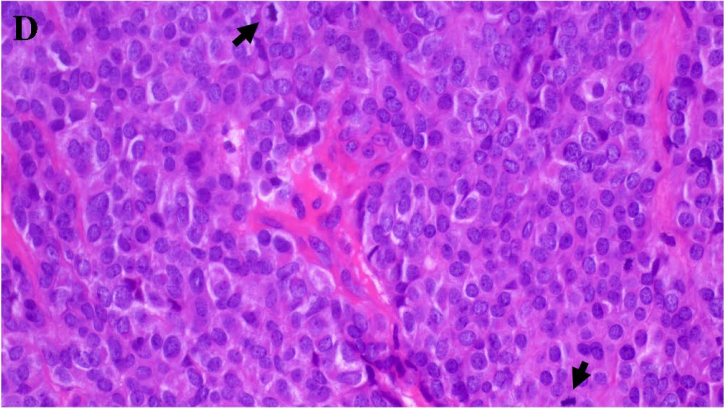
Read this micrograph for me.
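This tumor consists of densely packed, non-descript round cells growing in solid sheets separated by thin pink fibrous strands. Variation in nuclear size is mild. Scattered among them are mitotic figures, seen as small dark condensed clumps of chromatin. There is no distinct differentiation such as glands or keratin; the appearance is of a monotonous round cell population.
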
